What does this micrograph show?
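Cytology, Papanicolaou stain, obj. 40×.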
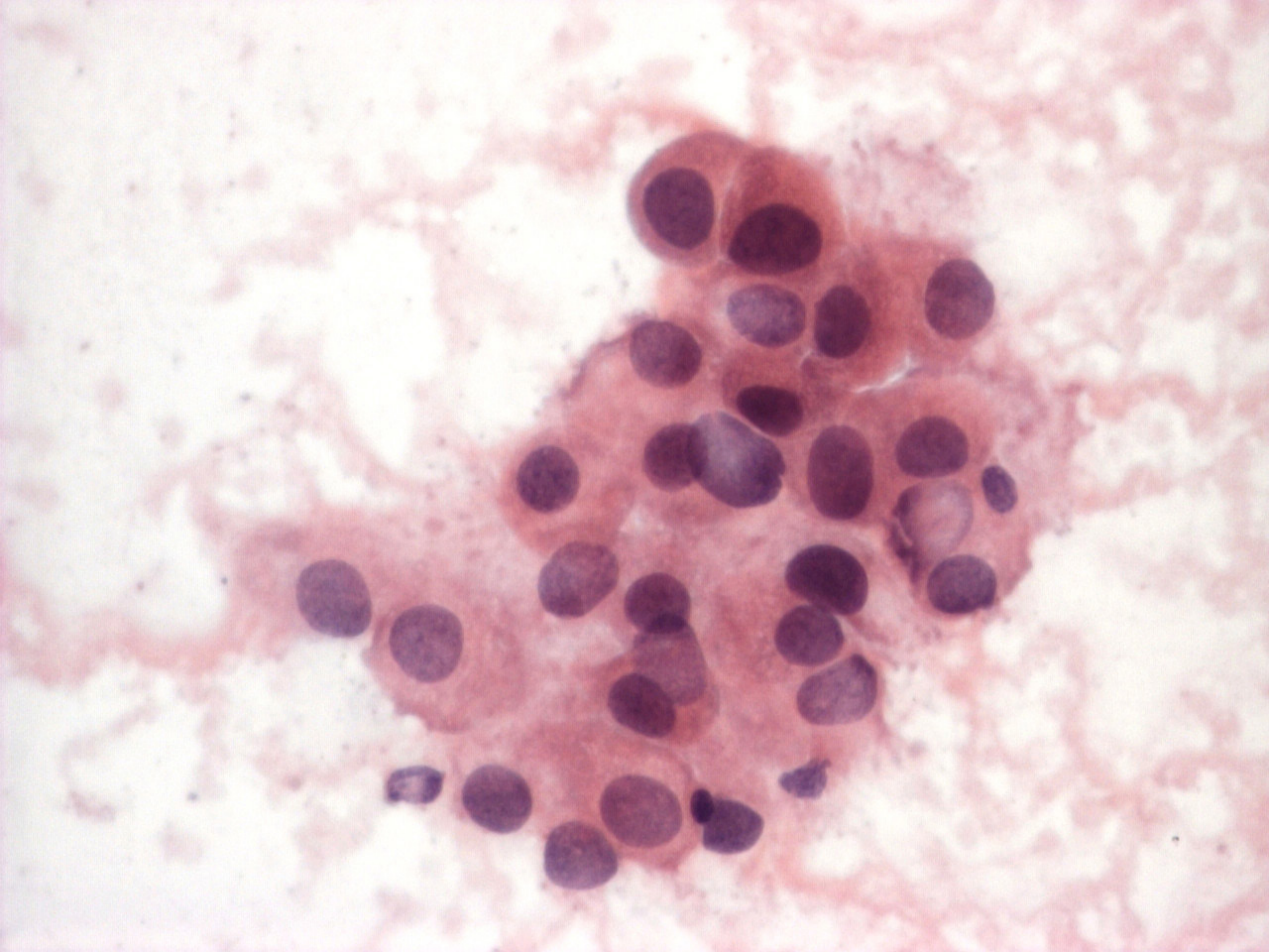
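A cohesive group of oncocytic cells with abundant, finely granular pink-orange cytoplasm and distinct cell borders. The round to oval nuclei often lie off-centre in the cell and vary in size. Some nuclei are darkly stained, and a few have slightly irregular outlines.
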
